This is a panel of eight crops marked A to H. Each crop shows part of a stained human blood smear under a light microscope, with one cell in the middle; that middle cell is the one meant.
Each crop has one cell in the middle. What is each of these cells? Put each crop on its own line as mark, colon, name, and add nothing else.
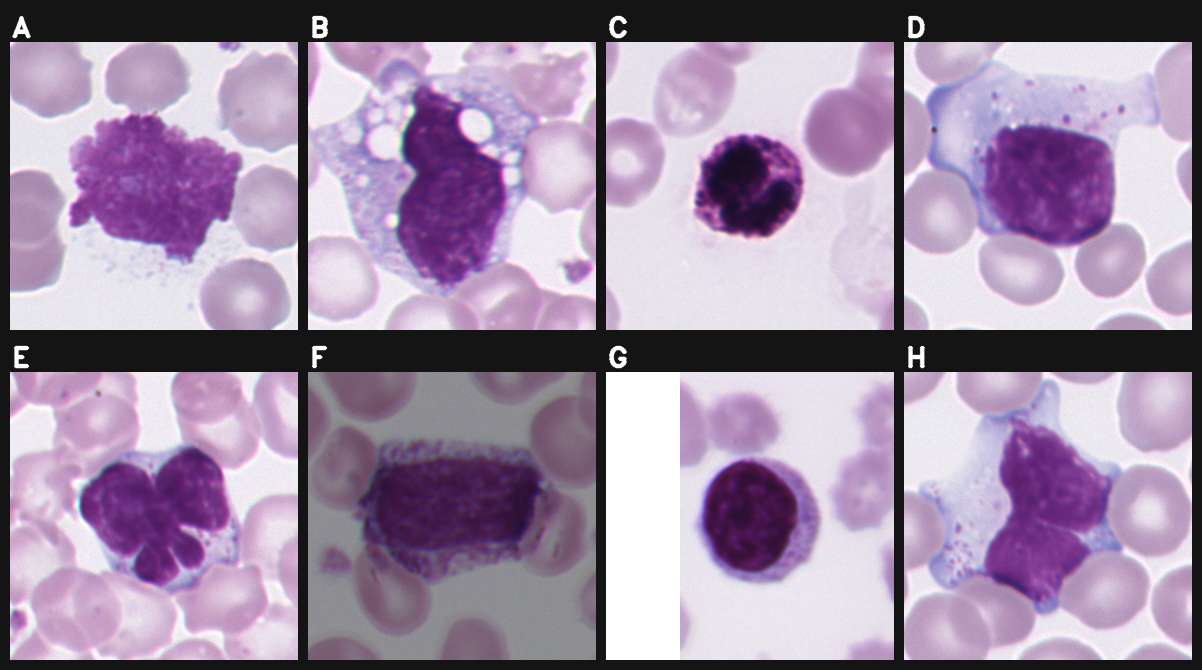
A: smudge cell
B: monocyte
C: basophil
D: large granular lymphocyte
E: large granular lymphocyte
F: myelocyte
G: normoblast
H: large granular lymphocyte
